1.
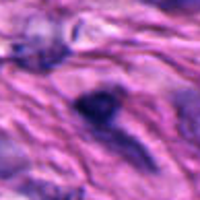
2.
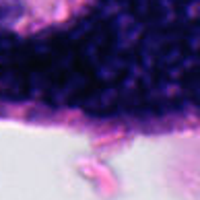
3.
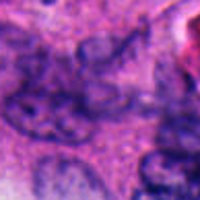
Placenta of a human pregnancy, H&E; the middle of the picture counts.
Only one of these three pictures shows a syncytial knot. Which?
Picture 2.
